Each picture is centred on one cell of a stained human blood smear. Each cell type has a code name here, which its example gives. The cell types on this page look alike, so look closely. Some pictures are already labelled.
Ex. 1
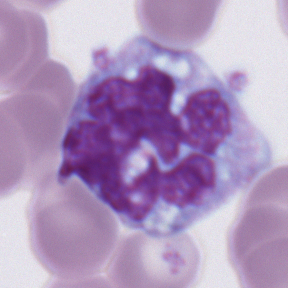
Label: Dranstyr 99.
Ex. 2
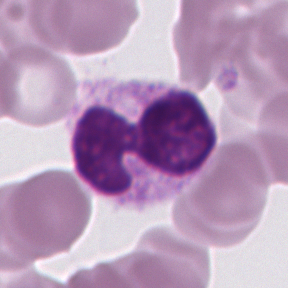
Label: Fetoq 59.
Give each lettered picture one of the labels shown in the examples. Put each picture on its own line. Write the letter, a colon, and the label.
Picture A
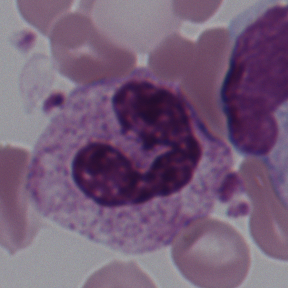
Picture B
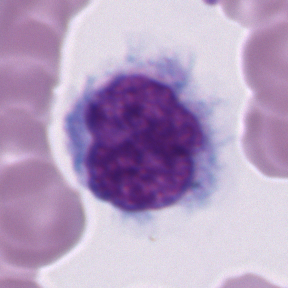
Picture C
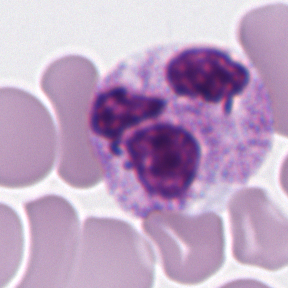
A: Fetoq 59.
B: Dranstyr 99.
C: Fetoq 59.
